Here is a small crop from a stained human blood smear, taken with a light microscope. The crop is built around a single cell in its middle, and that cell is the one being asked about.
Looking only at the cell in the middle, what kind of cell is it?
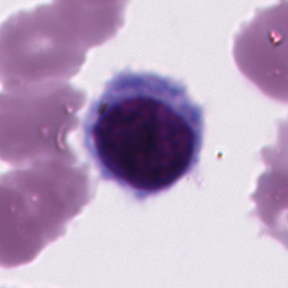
hairy cell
